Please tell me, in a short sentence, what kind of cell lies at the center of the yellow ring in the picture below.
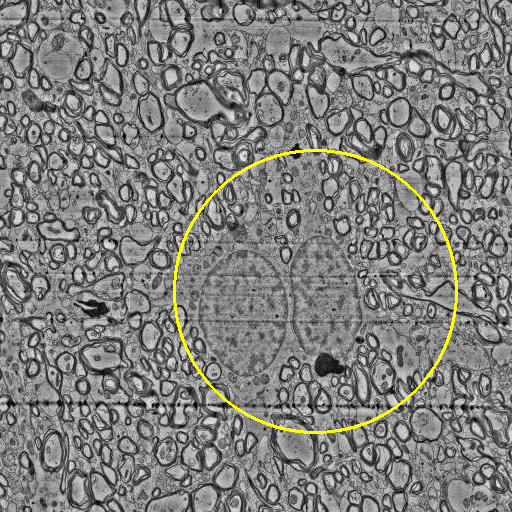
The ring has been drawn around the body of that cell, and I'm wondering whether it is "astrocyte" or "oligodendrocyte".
The cell at the center of the ring is an oligodendrocyte.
